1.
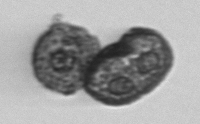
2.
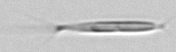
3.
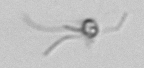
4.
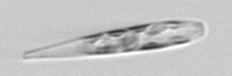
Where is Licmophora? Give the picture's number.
4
